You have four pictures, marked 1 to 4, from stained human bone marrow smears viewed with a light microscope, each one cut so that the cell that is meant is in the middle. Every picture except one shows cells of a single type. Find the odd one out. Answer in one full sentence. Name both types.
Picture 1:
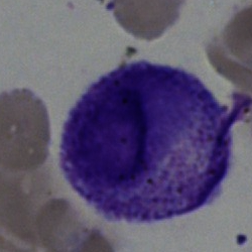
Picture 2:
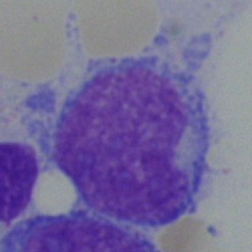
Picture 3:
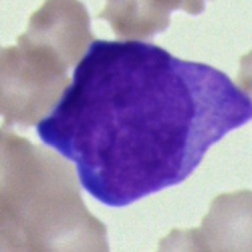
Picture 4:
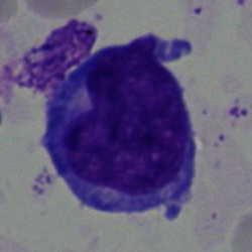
The others show blasts, but picture 1 shows a myelocyte.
